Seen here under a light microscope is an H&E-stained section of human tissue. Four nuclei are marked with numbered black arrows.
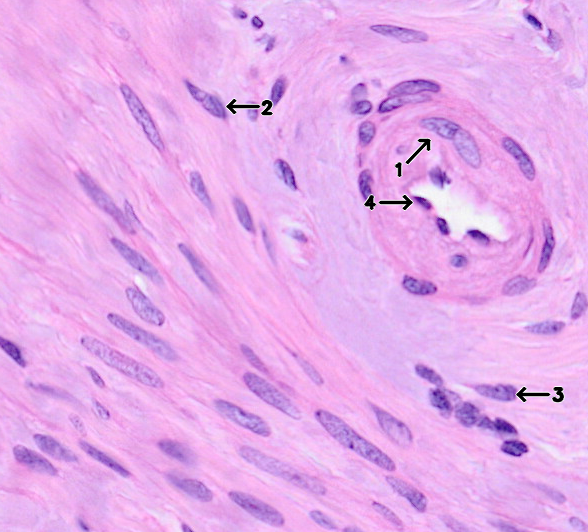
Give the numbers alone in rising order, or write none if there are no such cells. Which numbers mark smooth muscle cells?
1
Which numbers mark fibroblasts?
2, 3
